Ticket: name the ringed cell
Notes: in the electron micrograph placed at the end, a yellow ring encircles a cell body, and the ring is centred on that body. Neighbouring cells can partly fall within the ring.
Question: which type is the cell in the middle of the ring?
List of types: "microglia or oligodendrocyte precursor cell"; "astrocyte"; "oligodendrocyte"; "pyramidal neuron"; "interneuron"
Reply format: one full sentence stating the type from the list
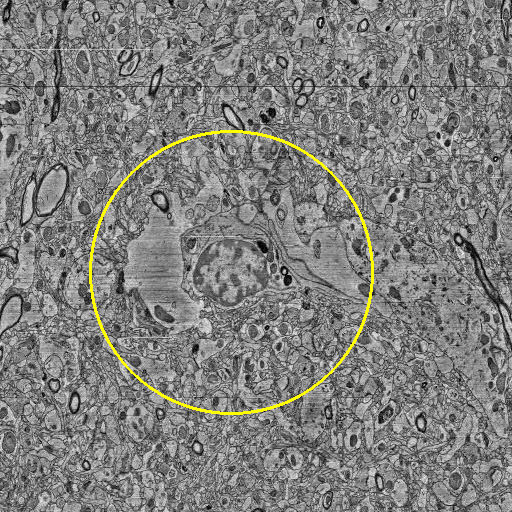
The cell sitting at the centre of the yellow ring is a microglial cell or oligodendrocyte precursor cell.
